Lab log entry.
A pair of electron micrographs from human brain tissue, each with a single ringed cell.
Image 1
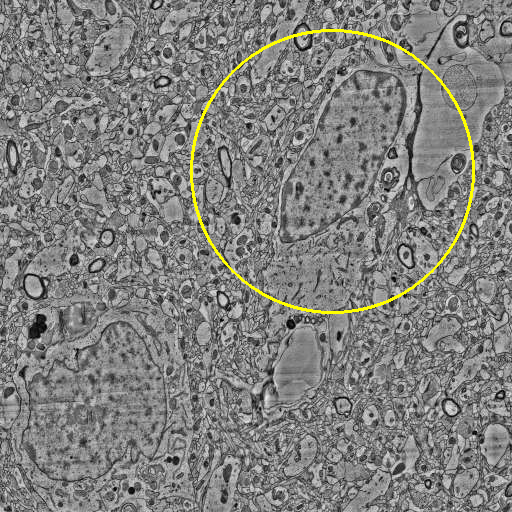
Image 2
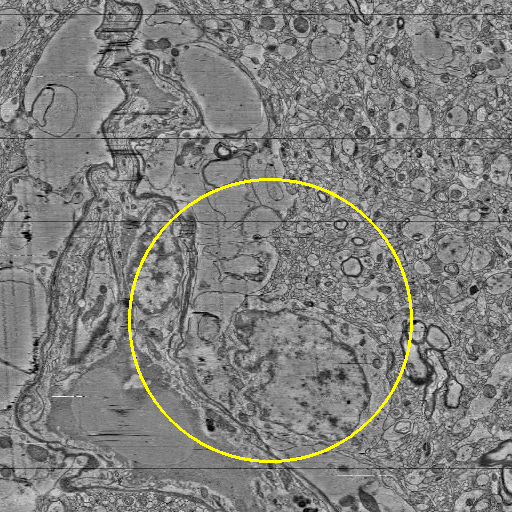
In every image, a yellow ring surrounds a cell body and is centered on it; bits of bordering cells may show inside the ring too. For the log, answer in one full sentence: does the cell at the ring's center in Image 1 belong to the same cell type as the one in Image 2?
No, the cells at the ring centers in Image 1 and Image 2 are of separate types.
